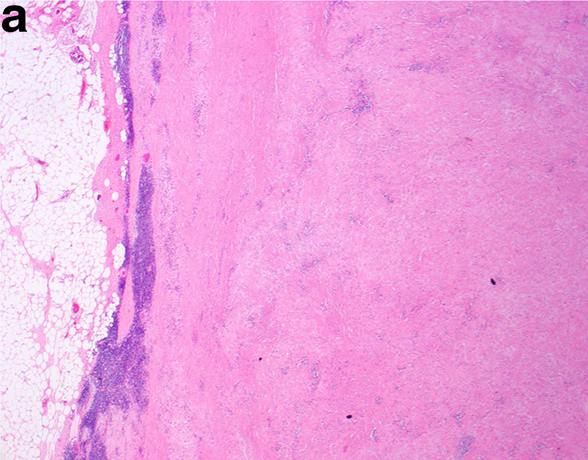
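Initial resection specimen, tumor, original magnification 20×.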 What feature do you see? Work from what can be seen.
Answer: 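Dense dark-purple clusters of small cells lie along the border of the pink tumor tissue. Adipose tissue lies beyond the border on the left. That points to this answer: lymphoid aggregates.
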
